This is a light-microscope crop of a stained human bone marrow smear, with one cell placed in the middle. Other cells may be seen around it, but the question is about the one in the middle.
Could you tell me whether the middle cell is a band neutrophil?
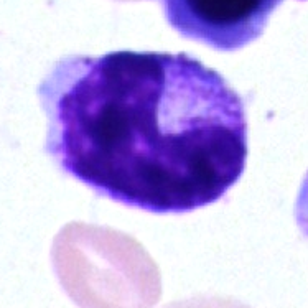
yes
